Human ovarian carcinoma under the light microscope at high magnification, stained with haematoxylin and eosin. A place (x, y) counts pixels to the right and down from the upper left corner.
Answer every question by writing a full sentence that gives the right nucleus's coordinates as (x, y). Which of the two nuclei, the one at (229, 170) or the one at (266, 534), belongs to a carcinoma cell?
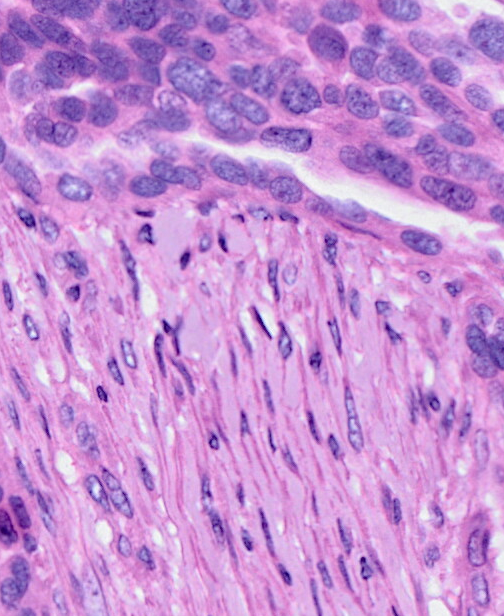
The nucleus whose position is (229, 170) belongs to a carcinoma cell.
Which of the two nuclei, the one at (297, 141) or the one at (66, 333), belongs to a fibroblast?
The one belonging to a fibroblast is the nucleus at (66, 333), not the other.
